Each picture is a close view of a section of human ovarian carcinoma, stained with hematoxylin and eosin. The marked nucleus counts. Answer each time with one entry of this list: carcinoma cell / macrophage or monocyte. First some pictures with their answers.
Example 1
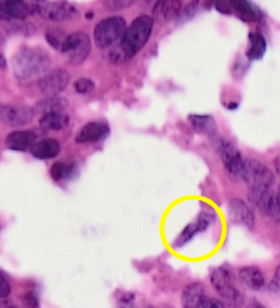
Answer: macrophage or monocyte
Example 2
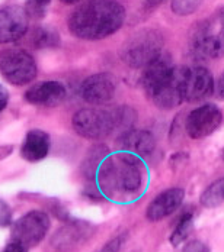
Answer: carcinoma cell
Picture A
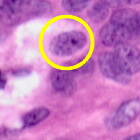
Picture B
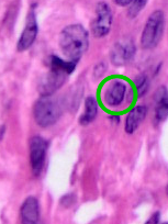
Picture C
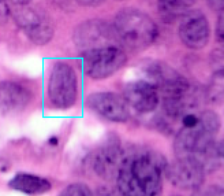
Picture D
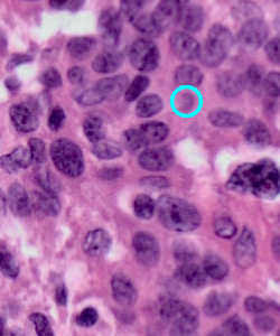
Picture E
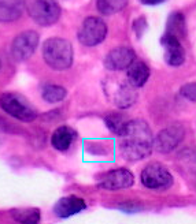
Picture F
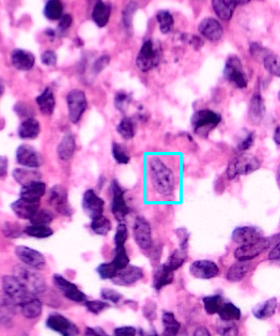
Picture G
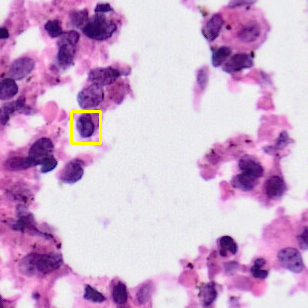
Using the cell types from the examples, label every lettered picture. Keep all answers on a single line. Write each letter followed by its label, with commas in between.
A macrophage or monocyte, B macrophage or monocyte, C carcinoma cell, D carcinoma cell, E macrophage or monocyte, F macrophage or monocyte, G macrophage or monocyte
